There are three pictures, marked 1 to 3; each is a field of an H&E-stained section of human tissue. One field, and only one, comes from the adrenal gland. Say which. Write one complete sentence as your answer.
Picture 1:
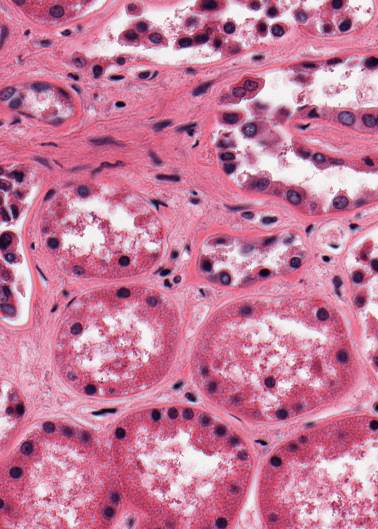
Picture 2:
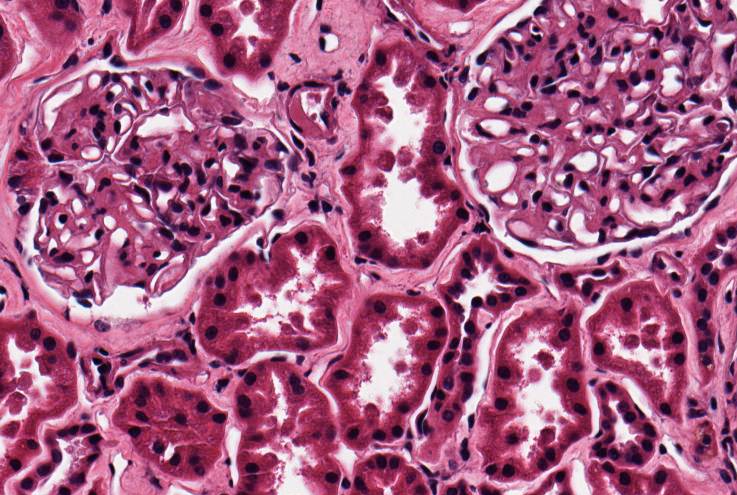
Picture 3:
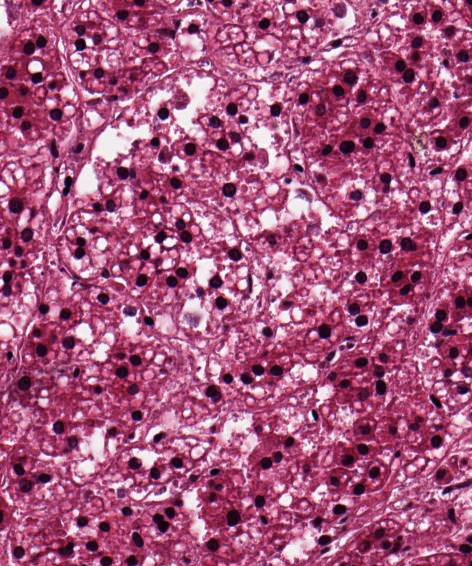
The one that comes from the adrenal gland is picture 3.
